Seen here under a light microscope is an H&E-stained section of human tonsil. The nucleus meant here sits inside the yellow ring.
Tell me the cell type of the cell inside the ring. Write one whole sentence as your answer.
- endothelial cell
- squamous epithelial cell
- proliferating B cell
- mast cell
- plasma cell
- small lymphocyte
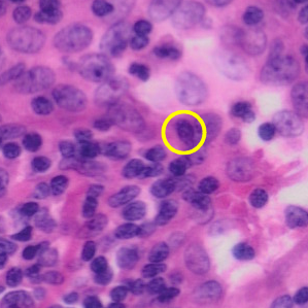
As far as its identity is concerned, the cell inside the ring is an endothelial cell.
